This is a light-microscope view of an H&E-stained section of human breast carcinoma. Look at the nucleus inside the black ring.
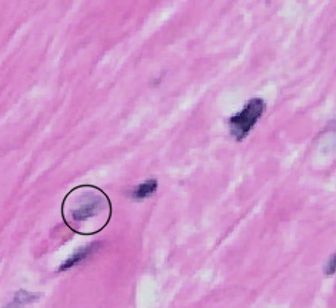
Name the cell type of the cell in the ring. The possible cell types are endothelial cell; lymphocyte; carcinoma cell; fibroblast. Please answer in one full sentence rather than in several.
In this tissue section, the cell in the ring is to be classed as an endothelial cell.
